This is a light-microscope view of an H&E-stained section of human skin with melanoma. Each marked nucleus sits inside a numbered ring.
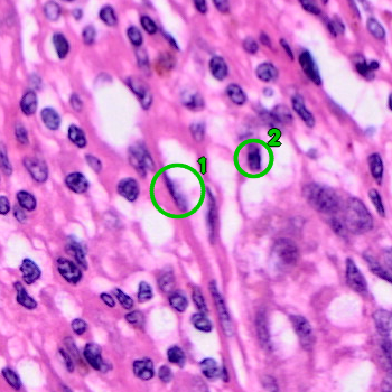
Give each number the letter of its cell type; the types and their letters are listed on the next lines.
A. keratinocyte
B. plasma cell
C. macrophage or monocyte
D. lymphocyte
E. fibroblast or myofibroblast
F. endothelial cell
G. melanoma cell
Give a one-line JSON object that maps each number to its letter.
{"1": "F", "2": "D"}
